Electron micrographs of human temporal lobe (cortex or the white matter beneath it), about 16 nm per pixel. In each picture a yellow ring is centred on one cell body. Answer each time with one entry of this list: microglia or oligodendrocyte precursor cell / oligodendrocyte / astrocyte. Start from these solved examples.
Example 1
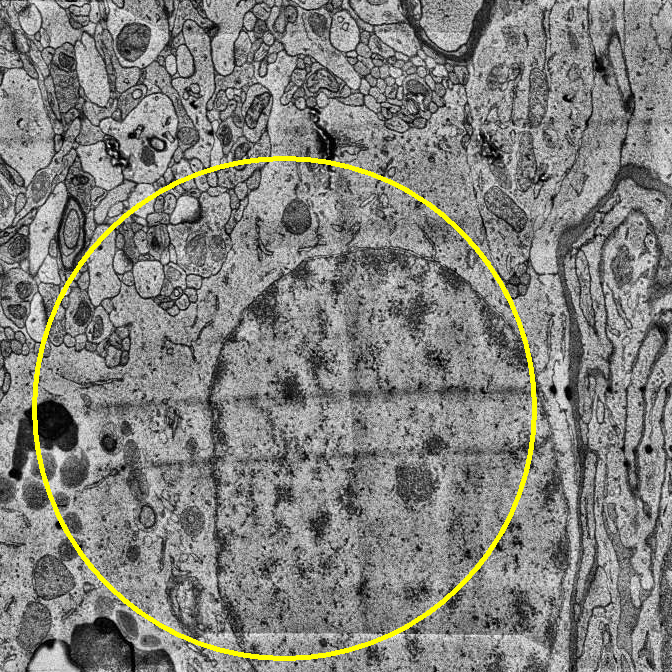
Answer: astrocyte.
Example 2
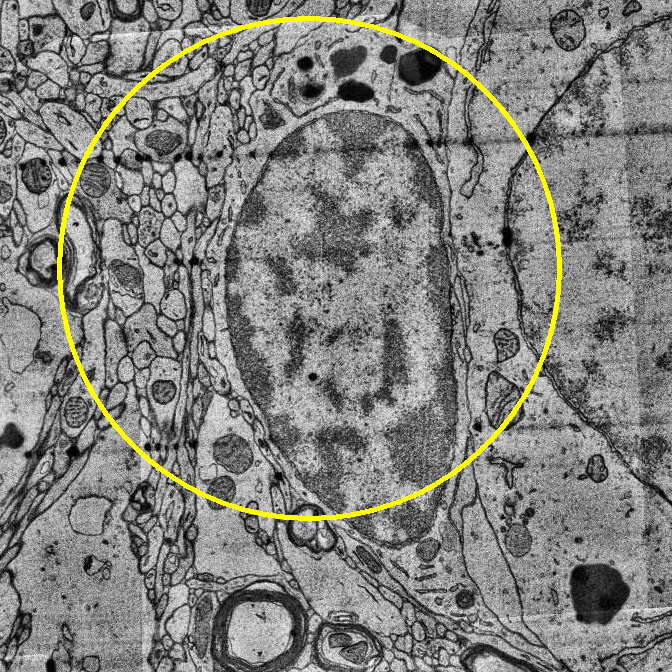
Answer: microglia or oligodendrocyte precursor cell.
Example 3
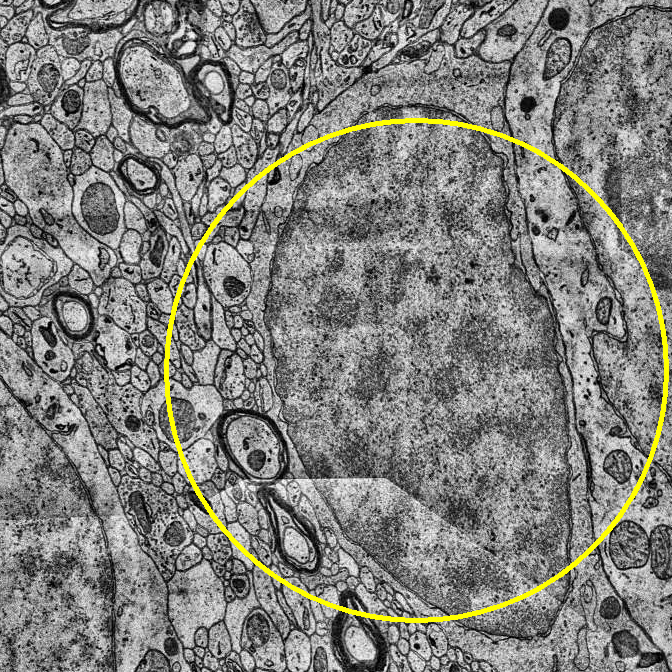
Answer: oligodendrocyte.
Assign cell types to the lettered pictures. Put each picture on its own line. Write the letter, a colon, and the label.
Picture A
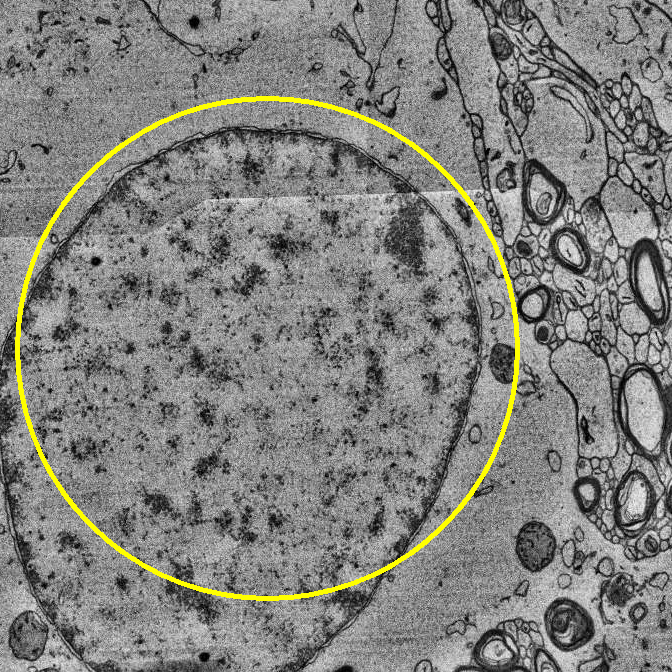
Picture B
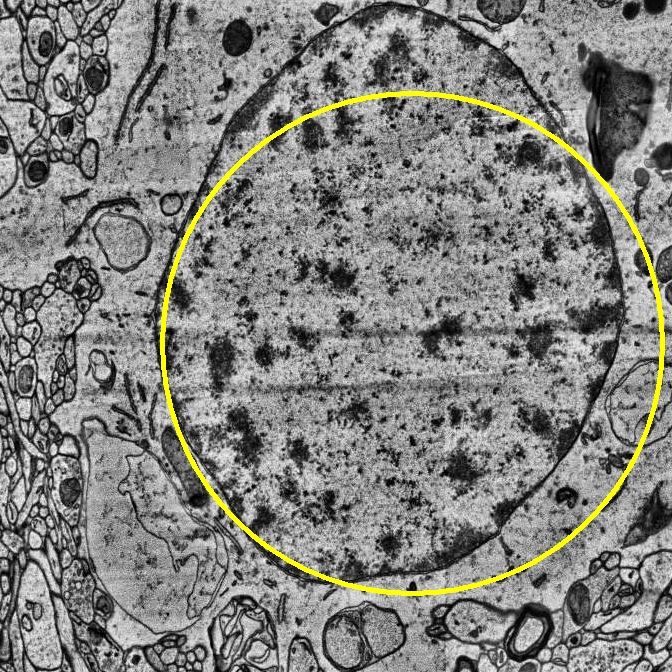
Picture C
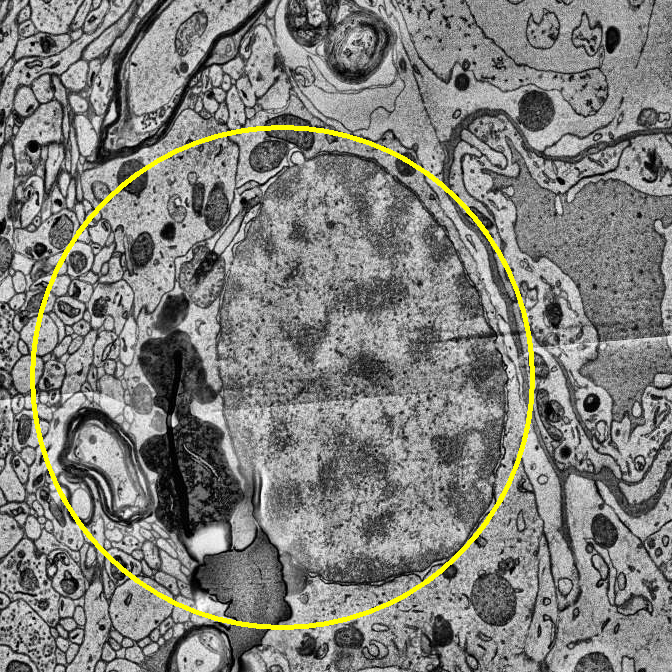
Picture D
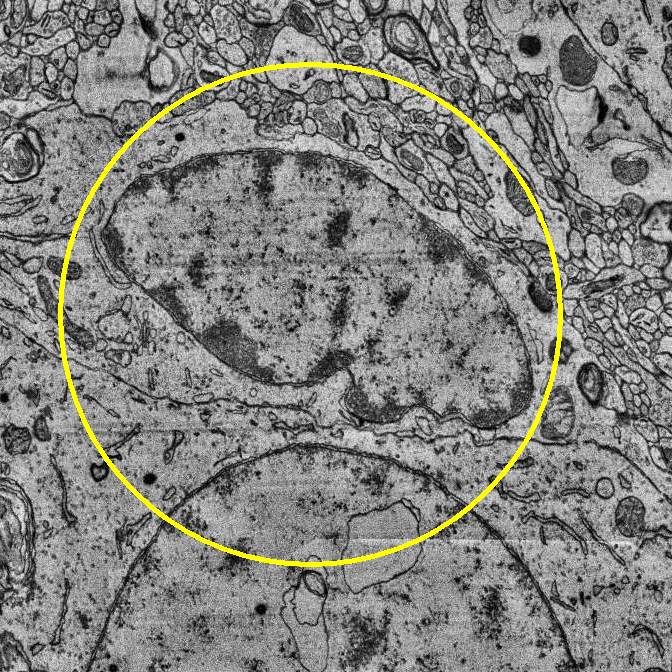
A: astrocyte.
B: astrocyte.
C: oligodendrocyte.
D: microglia or oligodendrocyte precursor cell.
